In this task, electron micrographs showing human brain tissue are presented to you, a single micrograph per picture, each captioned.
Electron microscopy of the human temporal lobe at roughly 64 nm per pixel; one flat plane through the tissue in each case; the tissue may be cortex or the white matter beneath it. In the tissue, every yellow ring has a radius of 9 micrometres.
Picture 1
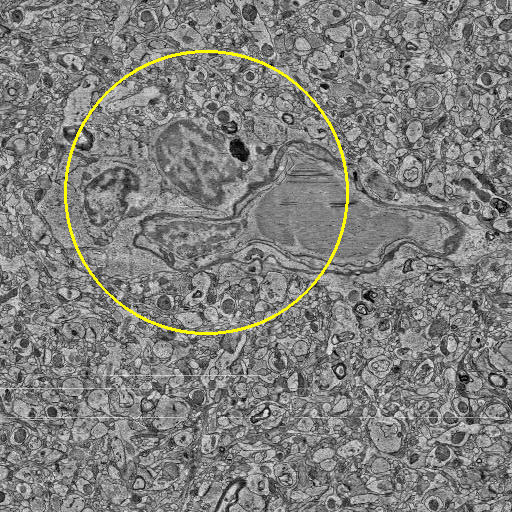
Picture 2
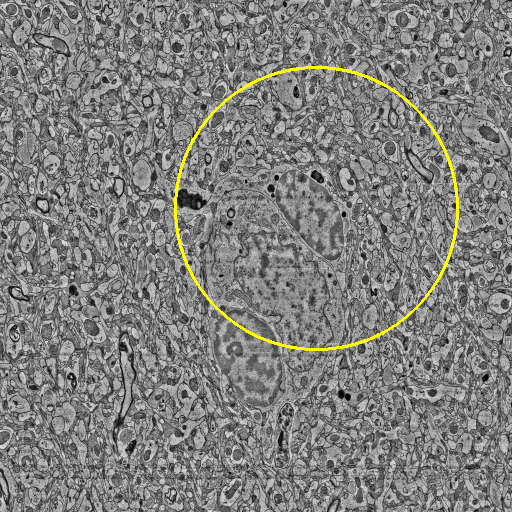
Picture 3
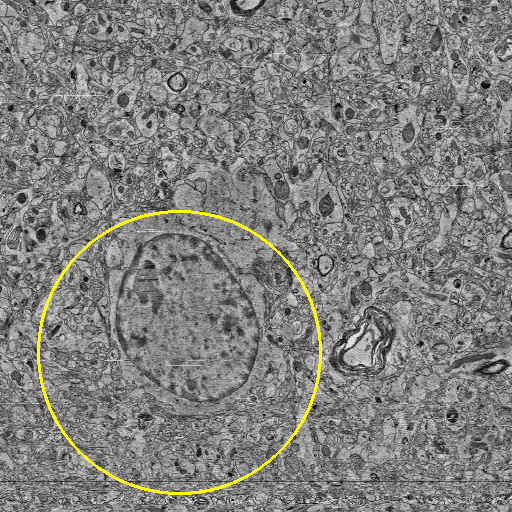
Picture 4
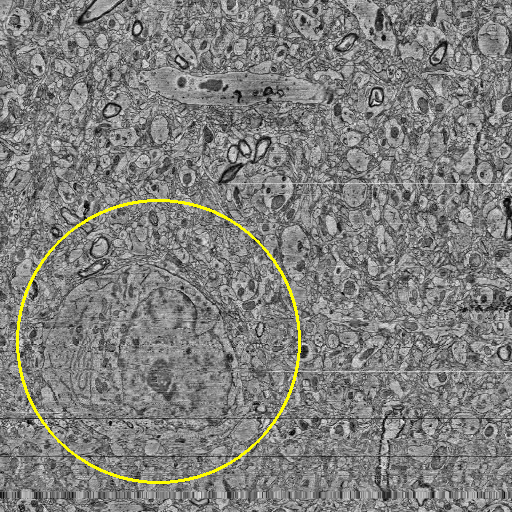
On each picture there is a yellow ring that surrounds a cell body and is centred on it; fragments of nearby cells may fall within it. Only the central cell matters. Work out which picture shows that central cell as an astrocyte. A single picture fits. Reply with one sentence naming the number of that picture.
Of all the pictures, number 3 has the right cell in the centre of its ring.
